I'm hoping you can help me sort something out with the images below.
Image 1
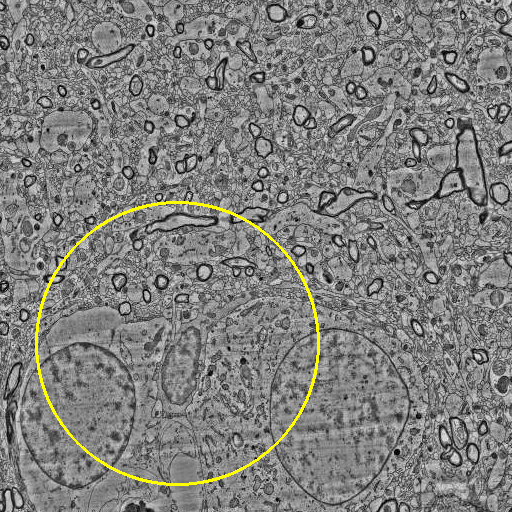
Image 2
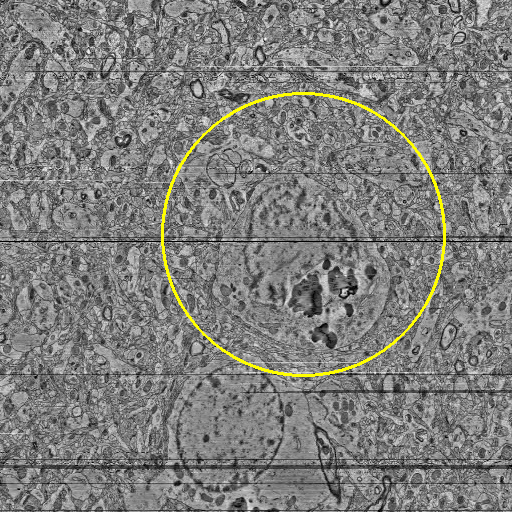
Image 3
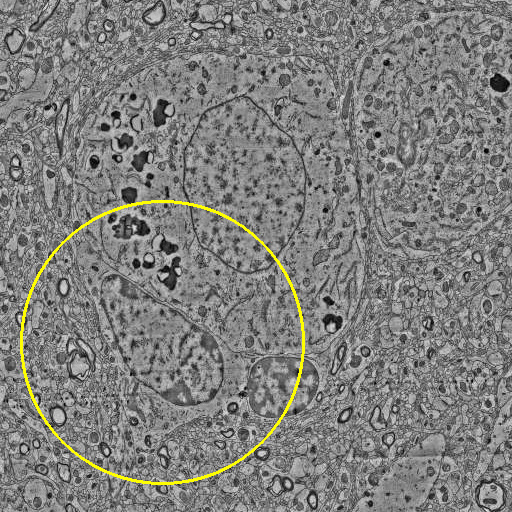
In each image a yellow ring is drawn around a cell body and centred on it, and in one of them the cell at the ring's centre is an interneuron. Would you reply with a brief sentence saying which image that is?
In Image 2, the cell at the centre of the ring is the one you asked about.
